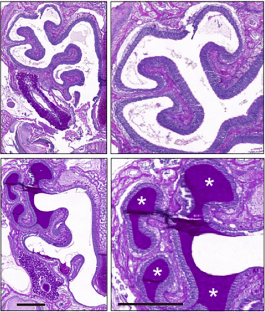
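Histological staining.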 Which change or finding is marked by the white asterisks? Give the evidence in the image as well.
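Mucus accumulation. The marked spaces of the cavity are filled with dense, evenly dark purple material. In the upper images the corresponding spaces are largely empty.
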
